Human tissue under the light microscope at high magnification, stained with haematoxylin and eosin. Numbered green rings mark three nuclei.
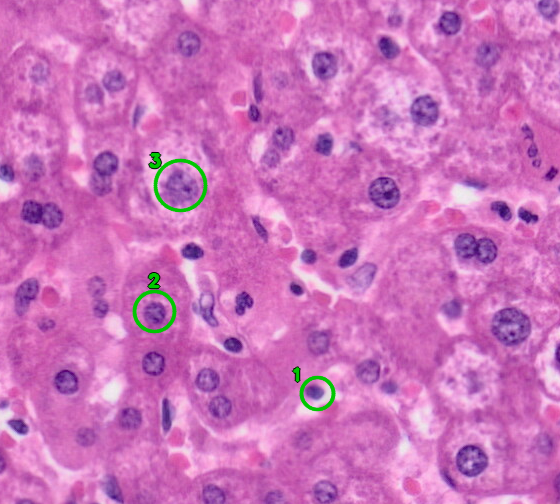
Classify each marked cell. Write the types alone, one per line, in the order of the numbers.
lymphocyte
hepatocyte
hepatocyte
